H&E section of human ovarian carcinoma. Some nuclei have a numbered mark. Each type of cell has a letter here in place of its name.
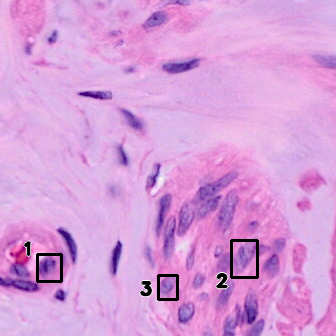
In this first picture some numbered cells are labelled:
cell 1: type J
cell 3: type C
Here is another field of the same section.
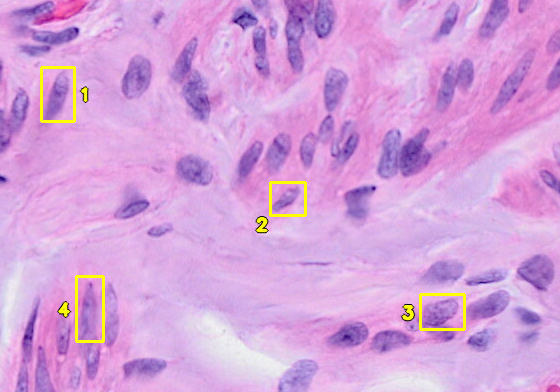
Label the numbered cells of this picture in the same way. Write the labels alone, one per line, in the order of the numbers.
type C
type C
type J
type C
